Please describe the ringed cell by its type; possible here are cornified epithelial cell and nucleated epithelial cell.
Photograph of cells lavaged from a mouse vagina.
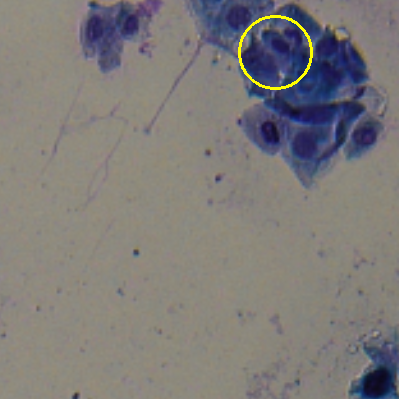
The yellow ring marks a nucleated epithelial cell.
